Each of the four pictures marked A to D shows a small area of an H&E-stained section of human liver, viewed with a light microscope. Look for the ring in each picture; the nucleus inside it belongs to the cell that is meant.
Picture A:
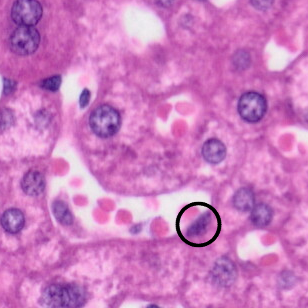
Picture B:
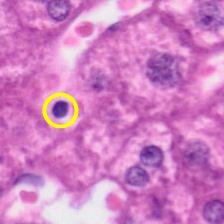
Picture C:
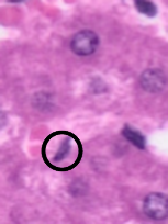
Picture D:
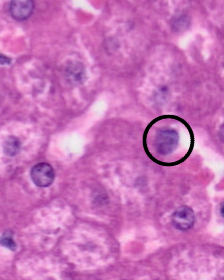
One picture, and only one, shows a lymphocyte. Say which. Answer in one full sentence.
It is picture B that shows the lymphocyte.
